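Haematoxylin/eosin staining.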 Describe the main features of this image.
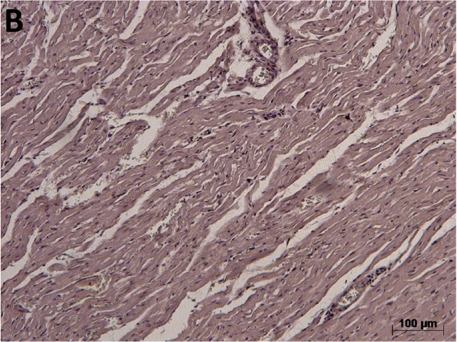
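Myocardial tissue is shown in which the pink-staining muscle fibers are split into bands by many wide, clear, empty spaces. The fibers are irregular in outline and course, with dark purple nuclei scattered among them. Clusters of small dark nuclei gather around a vessel near the top of the field.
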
